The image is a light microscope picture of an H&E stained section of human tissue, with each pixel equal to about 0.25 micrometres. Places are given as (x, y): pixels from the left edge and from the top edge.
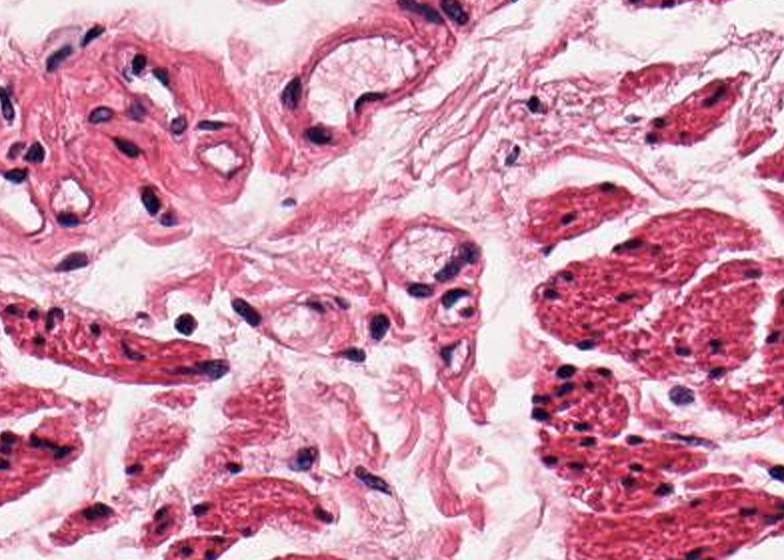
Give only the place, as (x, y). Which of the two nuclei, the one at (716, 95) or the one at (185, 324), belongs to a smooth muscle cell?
(716, 95)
